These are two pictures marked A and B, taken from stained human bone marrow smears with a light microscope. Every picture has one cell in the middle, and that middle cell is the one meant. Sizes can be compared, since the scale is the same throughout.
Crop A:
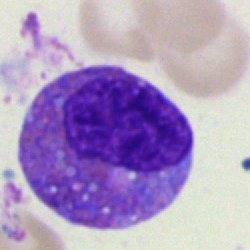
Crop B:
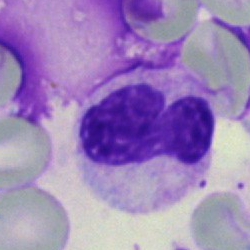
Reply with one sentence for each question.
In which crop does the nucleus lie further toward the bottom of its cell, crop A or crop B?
In crop B the nucleus is shifted more toward the bottom.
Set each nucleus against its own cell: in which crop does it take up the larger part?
It is the cell in crop B that is filled more by its nucleus.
